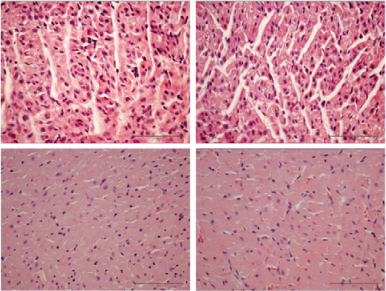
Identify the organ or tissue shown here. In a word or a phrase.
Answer: Hearts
